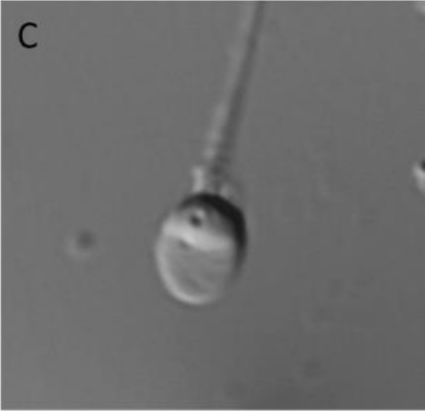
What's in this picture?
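A single spermatozoon is seen at high magnification, with an oval head carrying vacuoles toward its base. The head joins a slightly thickened midpiece that continues upward into a long thin tail. Near the base of the head, close to where the tail attaches, a small dark round pit is visible, and the surface across the middle of the head looks uneven rather than smooth. The rest of the oval outline is regular. The shaded relief of the image shows the head as a smooth-edged body against a plain grey background with a few small specks nearby.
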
